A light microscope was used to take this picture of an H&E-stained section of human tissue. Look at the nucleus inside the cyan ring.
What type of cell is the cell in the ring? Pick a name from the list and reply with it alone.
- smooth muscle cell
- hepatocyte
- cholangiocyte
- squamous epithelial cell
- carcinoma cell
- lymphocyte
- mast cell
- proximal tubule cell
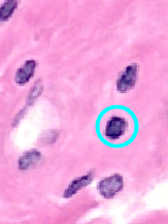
lymphocyte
